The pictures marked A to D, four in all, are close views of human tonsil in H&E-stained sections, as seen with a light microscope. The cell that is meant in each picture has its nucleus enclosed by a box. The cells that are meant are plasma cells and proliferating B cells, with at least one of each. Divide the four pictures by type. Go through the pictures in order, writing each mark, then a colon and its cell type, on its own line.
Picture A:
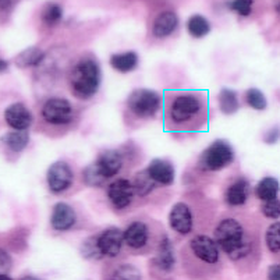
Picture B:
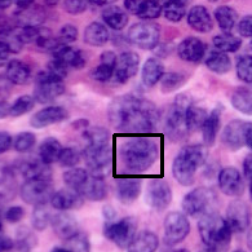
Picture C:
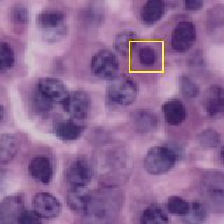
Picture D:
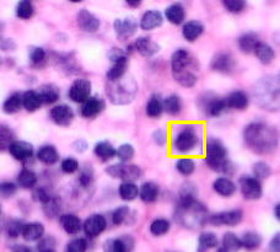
A: plasma cell
B: proliferating B cell
C: plasma cell
D: proliferating B cell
